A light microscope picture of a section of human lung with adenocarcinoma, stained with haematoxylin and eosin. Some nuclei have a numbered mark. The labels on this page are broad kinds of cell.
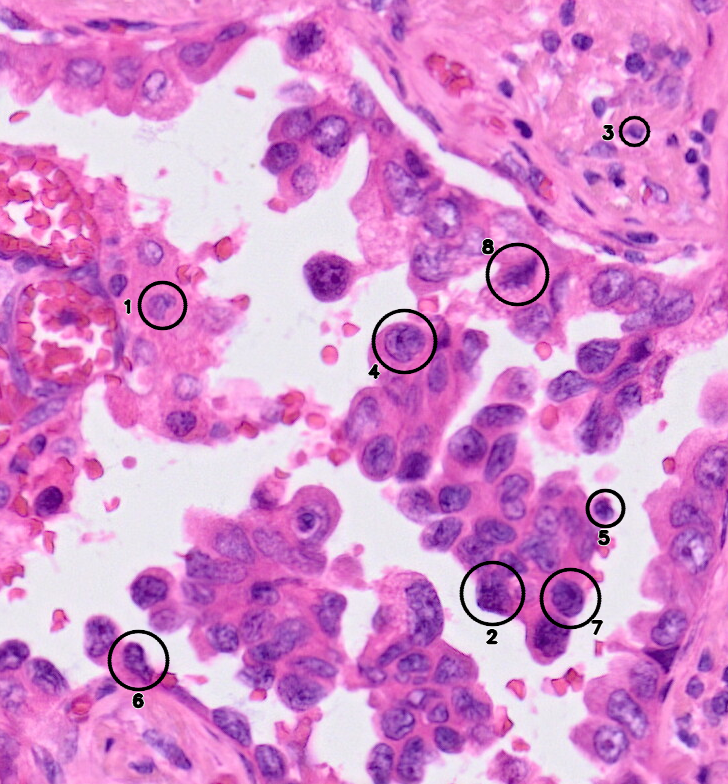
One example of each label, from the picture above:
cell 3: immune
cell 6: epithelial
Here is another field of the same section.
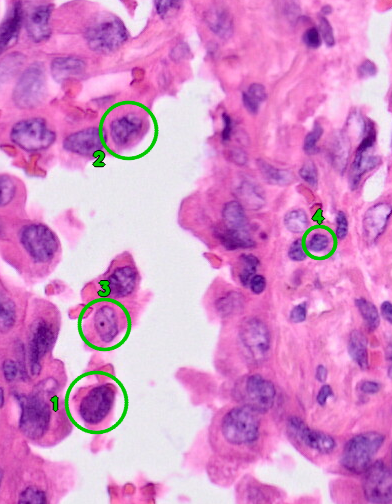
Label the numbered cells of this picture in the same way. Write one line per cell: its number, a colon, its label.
1: epithelial
2: epithelial
3: immune
4: immune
